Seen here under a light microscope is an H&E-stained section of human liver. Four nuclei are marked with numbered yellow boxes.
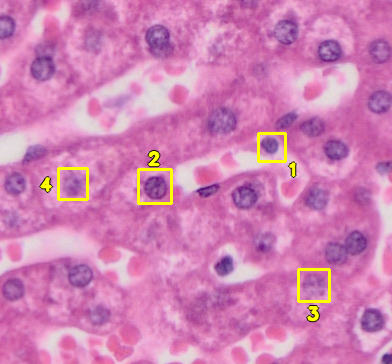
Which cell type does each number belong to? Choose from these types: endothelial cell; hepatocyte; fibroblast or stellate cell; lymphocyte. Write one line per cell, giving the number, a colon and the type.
1: lymphocyte
2: hepatocyte
3: hepatocyte
4: hepatocyte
